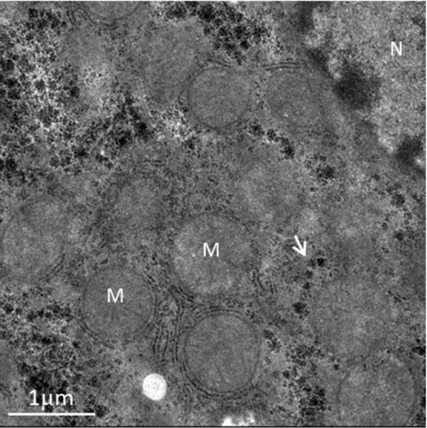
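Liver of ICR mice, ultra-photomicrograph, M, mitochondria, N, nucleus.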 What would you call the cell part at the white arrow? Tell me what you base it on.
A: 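The arrow points to a cluster of small electron-dense granules in the cytoplasm. Similar dark granular clusters lie scattered between the mitochondria. The answer: glycogen.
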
